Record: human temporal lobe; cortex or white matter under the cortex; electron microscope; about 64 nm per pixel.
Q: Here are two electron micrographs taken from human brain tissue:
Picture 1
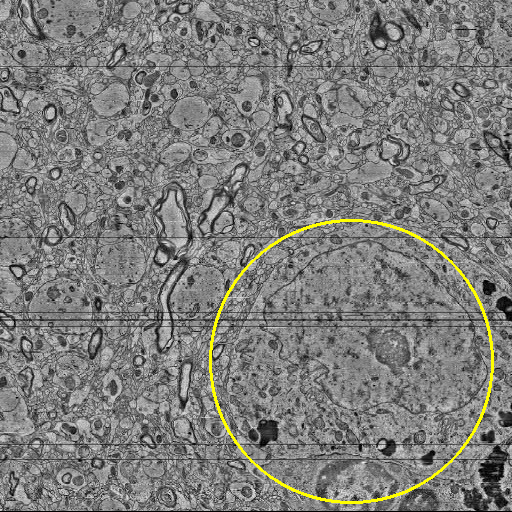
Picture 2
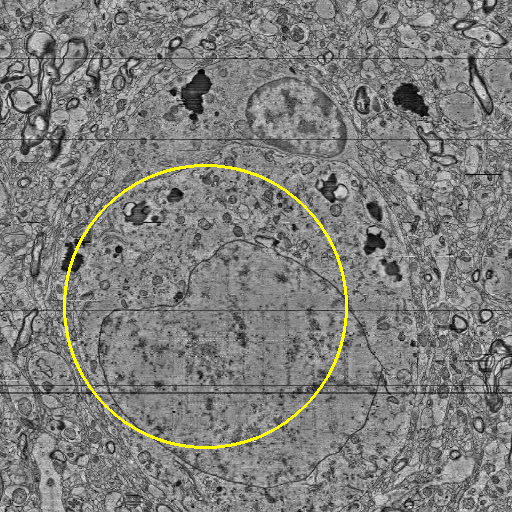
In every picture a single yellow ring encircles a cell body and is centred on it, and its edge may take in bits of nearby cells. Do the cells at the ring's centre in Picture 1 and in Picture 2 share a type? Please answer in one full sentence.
Yes, the cells at the ring's centre in Picture 1 and Picture 2 share a type.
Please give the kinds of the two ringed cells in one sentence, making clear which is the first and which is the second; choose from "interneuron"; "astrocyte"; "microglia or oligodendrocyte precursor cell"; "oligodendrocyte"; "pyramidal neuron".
Both the first and the second picture show a pyramidal neuron in the ring.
